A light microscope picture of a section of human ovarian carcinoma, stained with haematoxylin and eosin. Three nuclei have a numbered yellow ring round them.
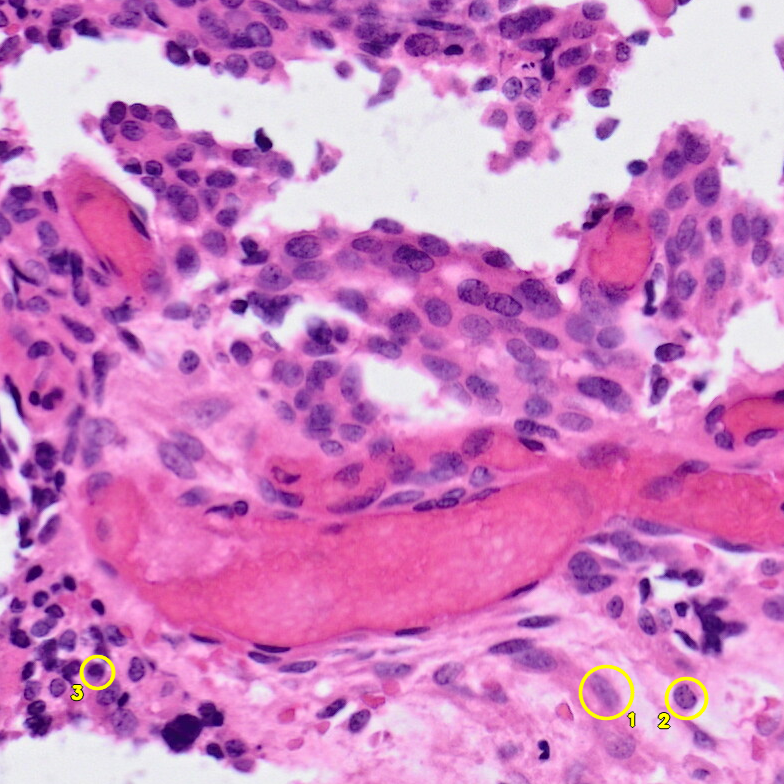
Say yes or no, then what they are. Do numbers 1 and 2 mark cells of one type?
No, cell 1 is categorized as a fibroblast, while cell 2 is categorized as a macrophage or monocyte.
